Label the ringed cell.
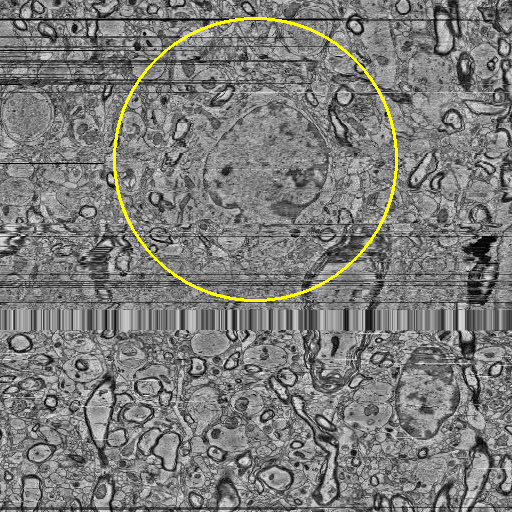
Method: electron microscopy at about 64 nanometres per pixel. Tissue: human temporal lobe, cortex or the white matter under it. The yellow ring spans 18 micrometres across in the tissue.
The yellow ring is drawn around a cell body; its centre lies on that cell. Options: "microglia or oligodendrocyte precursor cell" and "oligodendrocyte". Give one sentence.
The ringed cell is a microglial cell or oligodendrocyte precursor cell.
